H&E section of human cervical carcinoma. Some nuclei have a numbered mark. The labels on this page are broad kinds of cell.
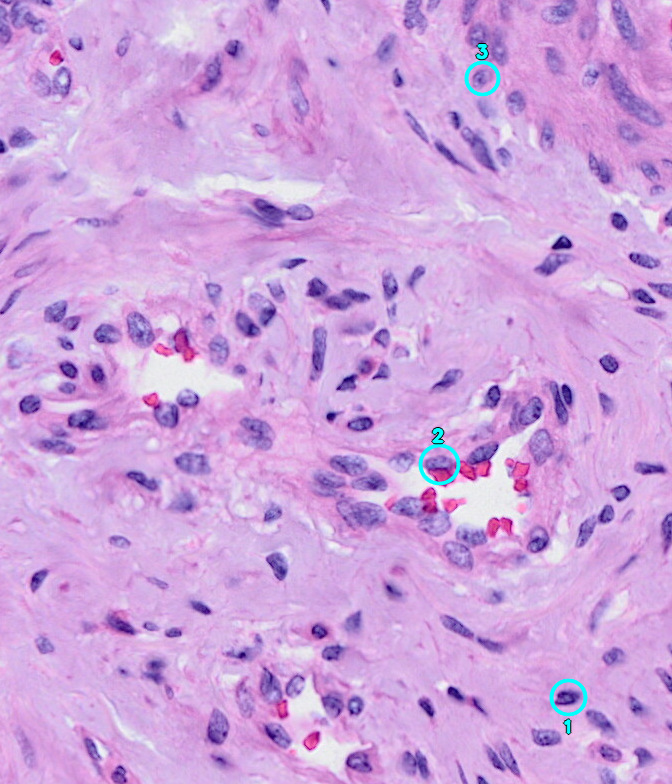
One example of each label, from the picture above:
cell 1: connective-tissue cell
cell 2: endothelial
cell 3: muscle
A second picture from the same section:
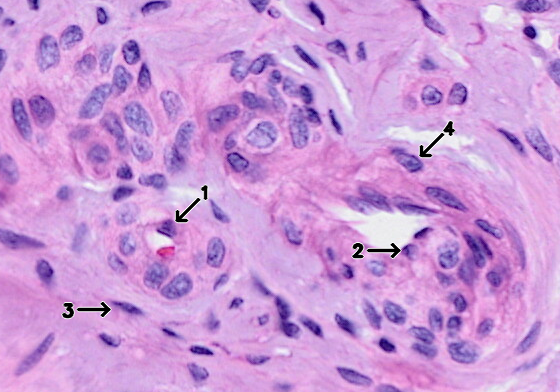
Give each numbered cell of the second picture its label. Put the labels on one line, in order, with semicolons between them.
endothelial; endothelial; connective-tissue cell; muscle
